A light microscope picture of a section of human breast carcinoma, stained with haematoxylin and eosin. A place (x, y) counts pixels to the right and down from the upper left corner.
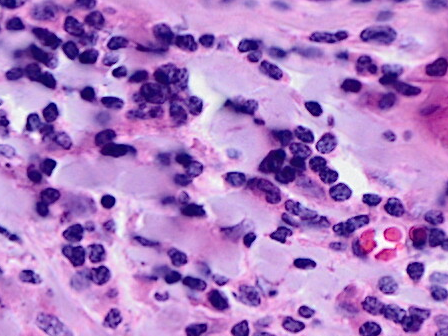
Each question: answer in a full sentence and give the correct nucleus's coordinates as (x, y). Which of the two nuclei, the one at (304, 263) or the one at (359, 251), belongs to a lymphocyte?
Between the pair, the nucleus at (304, 263) belongs to a lymphocyte.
